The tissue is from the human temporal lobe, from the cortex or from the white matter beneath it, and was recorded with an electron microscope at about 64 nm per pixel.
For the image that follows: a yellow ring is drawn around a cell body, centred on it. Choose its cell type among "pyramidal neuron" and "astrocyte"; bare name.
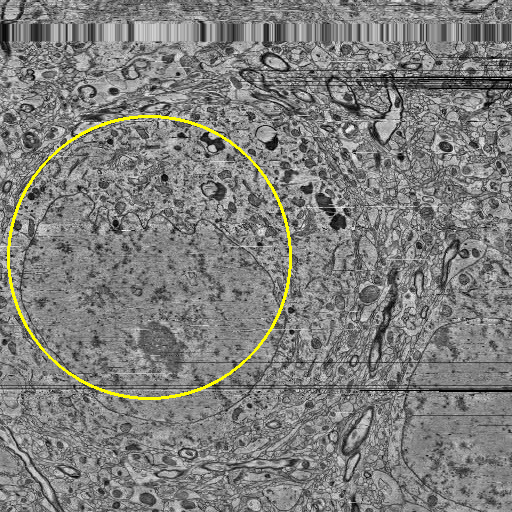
pyramidal neuron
